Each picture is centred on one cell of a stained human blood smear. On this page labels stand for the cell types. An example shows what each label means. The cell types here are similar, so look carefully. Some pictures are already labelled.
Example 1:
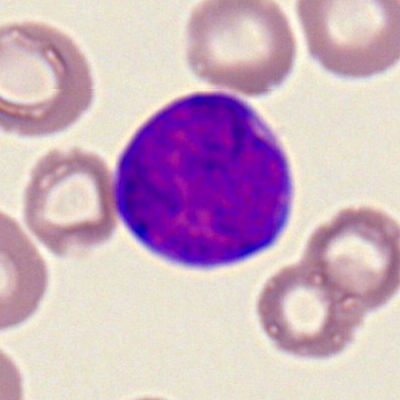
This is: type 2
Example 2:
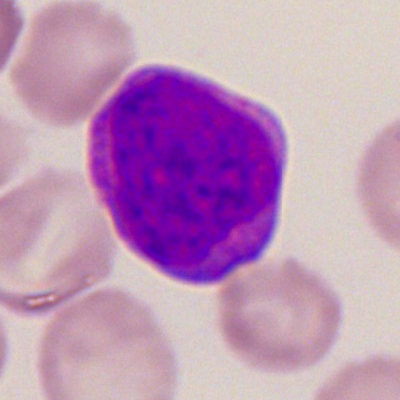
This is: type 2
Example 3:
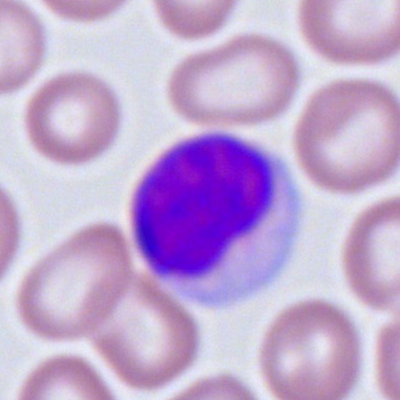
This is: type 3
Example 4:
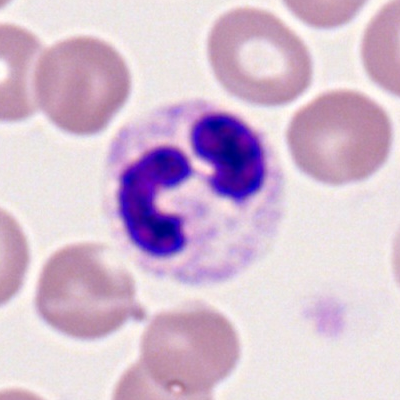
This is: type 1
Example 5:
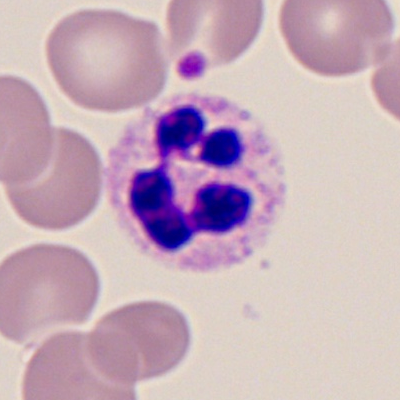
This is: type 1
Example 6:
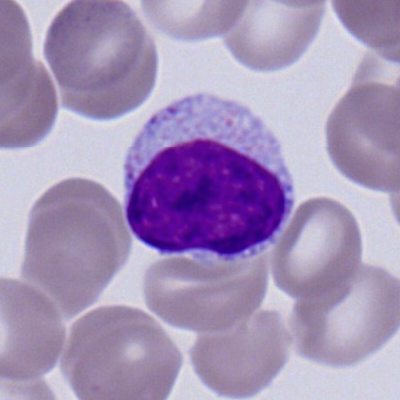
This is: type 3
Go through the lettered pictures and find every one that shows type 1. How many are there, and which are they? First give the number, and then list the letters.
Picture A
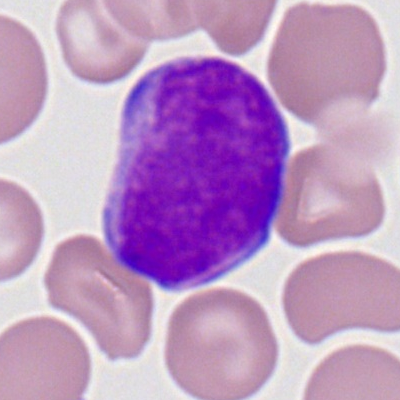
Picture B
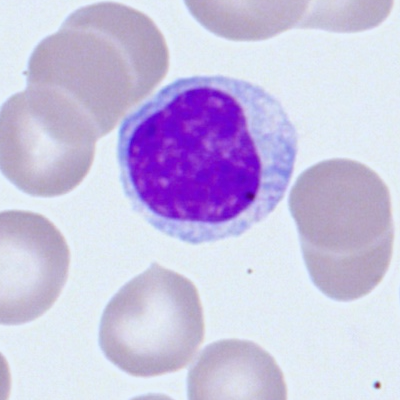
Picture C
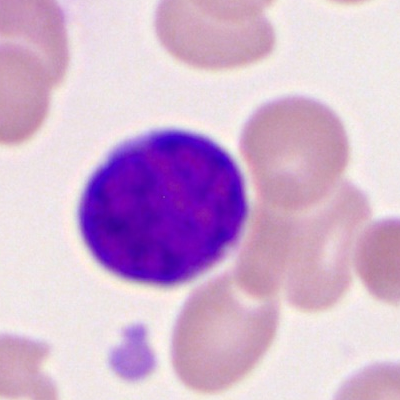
0, none of them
